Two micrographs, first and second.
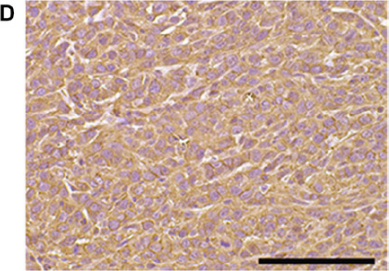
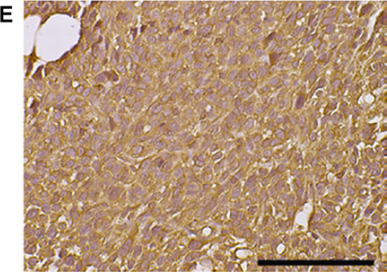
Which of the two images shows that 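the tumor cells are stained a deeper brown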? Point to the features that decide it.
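Second image: the cytoplasm across the field is a darker, more saturated brown. First image: the cytoplasm is a paler tan brown with bluish nuclei standing out more. So: the second image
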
